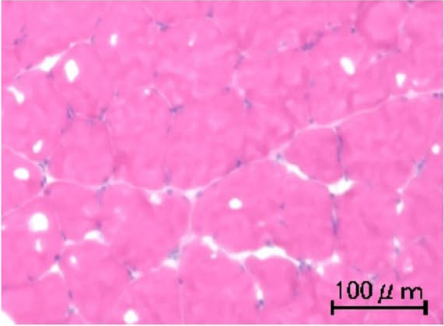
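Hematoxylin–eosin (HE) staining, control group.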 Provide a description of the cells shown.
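This is a cross-section of muscle in which the muscle fibers appear as large, closely packed polygonal profiles filled with evenly pink cytoplasm. Their small dark purple nuclei lie at the edges of the fibers, and only thin pale spaces separate neighbouring fibers.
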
